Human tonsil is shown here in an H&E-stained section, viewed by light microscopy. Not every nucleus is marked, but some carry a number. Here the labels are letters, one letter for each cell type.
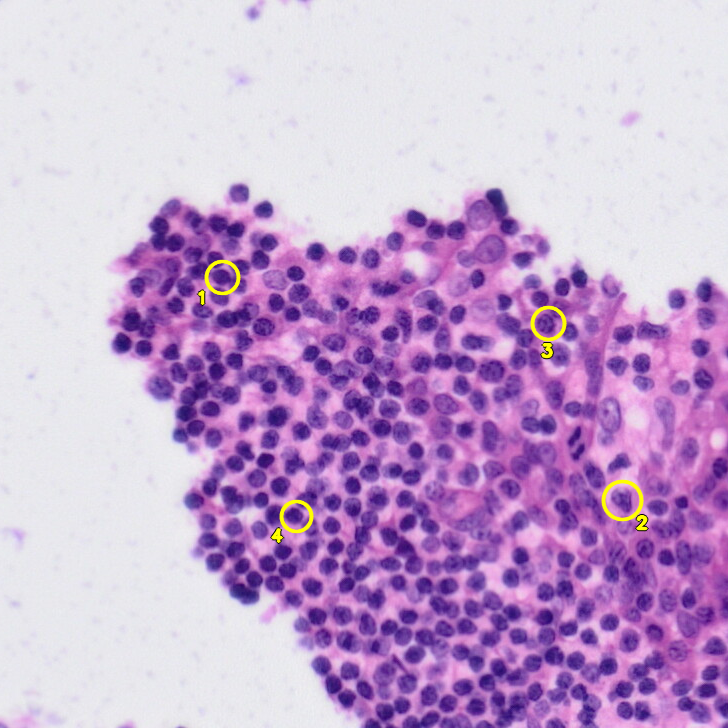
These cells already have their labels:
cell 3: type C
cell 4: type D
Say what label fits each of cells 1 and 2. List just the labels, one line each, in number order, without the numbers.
type D
type C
